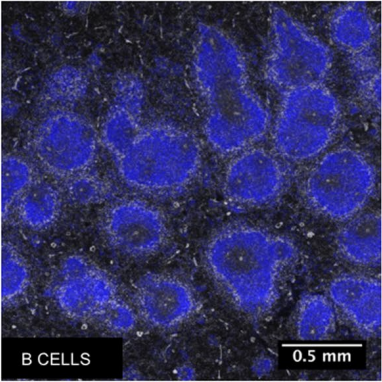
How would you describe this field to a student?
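A low-magnification section of spleen shows many rounded to irregular nodules filled with dense blue staining, each bordered by a thin pale grey rim. The tissue between the nodules is dark with scattered grey vessel-like streaks and carries little blue. Some nodules have a slightly paler or darker centre within the blue.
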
